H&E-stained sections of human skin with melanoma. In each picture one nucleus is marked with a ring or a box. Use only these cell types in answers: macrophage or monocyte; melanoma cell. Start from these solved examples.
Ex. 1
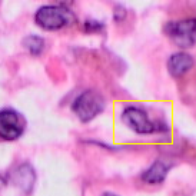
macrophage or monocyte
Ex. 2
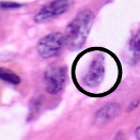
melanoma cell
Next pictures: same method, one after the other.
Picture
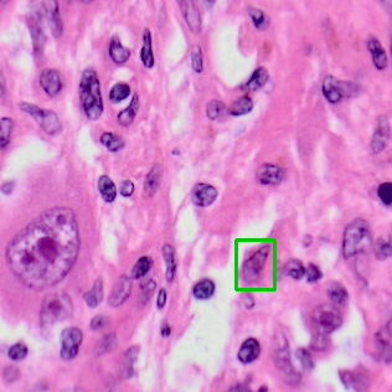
macrophage or monocyte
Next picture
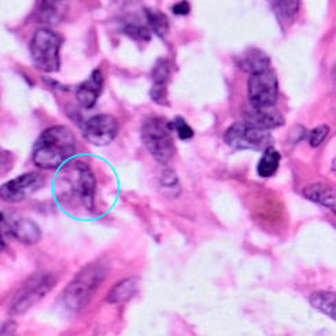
melanoma cell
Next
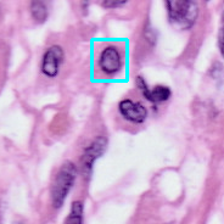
macrophage or monocyte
